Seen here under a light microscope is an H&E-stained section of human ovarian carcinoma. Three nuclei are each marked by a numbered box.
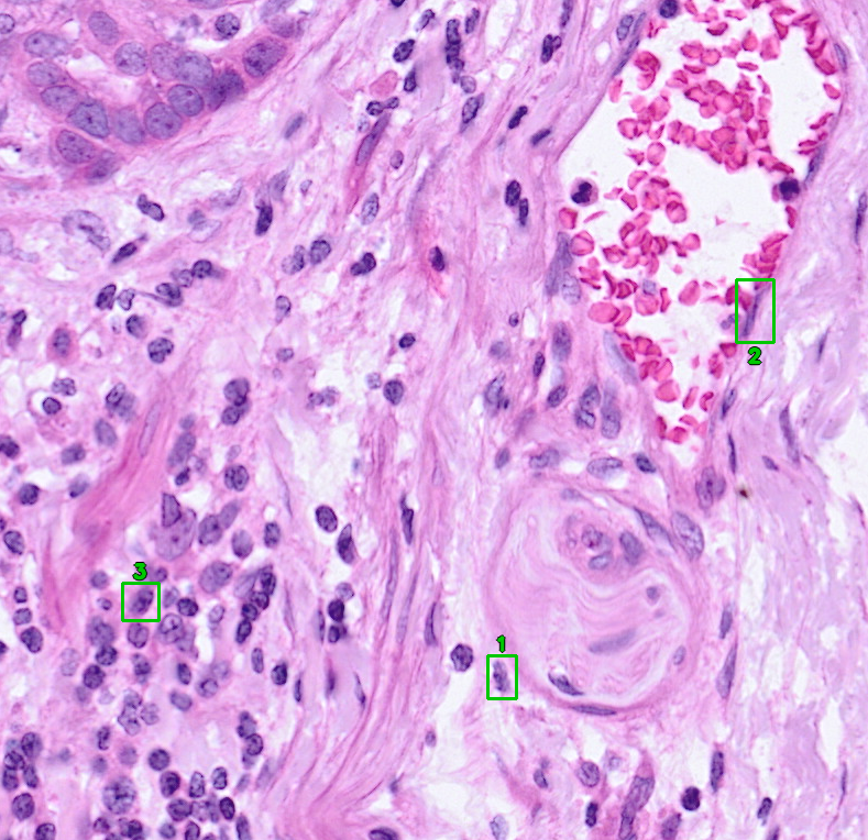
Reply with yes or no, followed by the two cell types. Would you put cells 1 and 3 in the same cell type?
Yes, cell 1 and cell 3 are both lymphocytes.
